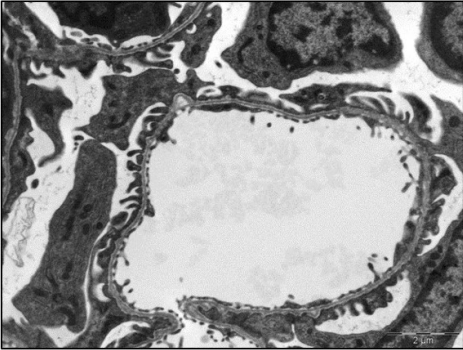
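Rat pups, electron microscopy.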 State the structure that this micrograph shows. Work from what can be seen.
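A large open capillary lumen is ringed by a thin, continuous dense membrane. That points to this answer: glomerular basement membrane.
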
